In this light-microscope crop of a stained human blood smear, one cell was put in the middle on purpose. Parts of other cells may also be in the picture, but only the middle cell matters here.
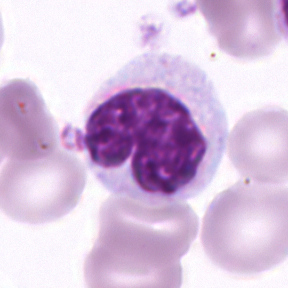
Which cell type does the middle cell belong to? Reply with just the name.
band neutrophil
